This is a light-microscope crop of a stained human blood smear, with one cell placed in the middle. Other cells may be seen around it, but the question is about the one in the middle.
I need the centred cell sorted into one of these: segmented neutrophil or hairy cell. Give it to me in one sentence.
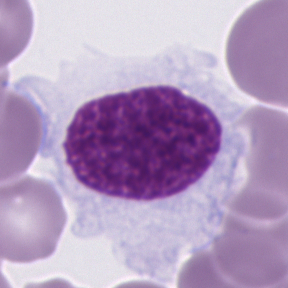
At the middle of the frame sits a hairy cell.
